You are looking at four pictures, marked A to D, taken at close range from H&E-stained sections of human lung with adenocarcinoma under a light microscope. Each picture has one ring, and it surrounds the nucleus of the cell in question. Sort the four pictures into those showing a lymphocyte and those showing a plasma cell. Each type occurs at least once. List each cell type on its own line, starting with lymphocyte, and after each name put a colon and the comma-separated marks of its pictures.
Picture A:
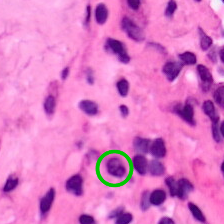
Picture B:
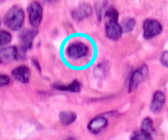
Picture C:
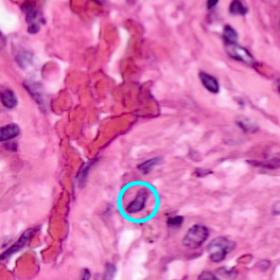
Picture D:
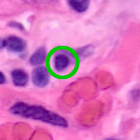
lymphocyte: B, D
plasma cell: A, C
